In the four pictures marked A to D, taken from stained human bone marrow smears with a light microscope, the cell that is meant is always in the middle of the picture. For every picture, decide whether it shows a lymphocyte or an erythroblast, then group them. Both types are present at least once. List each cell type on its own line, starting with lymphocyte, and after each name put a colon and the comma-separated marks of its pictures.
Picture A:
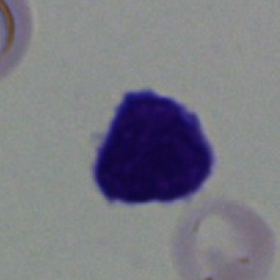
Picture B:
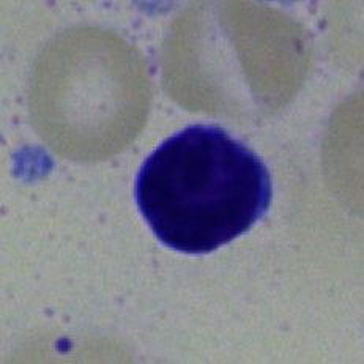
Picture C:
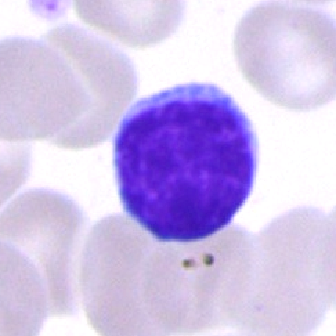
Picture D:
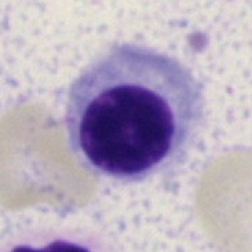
lymphocyte: A, B, C
erythroblast: D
